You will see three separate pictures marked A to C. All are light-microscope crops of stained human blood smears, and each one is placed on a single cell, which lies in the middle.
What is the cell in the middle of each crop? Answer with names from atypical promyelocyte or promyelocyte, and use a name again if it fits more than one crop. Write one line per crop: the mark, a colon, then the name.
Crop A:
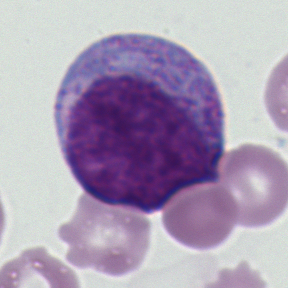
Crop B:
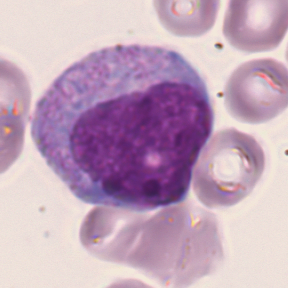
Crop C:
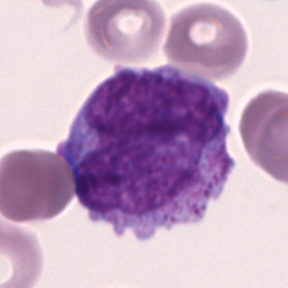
A: promyelocyte
B: promyelocyte
C: atypical promyelocyte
